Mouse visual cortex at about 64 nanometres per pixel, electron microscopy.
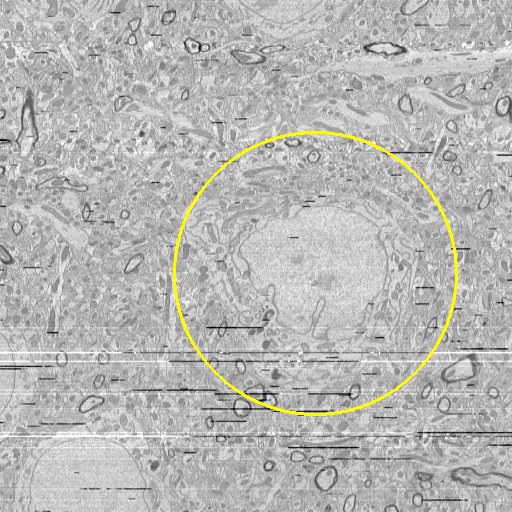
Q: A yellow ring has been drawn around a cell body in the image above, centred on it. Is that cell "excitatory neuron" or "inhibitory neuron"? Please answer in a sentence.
The ring surrounds the cell body of an inhibitory neuron.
